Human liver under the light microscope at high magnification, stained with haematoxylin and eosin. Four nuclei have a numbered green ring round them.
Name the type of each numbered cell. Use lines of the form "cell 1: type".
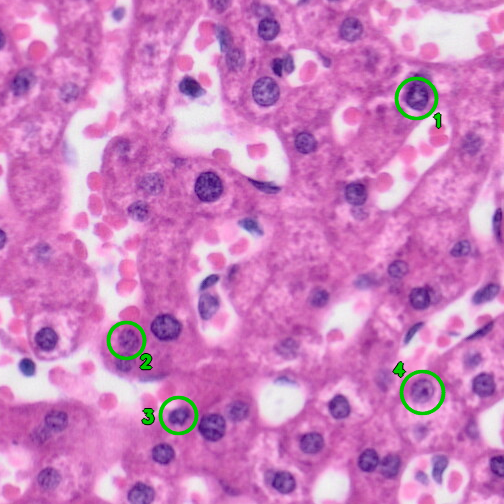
cell 1: hepatocyte
cell 2: hepatocyte
cell 3: fibroblast or stellate cell
cell 4: hepatocyte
